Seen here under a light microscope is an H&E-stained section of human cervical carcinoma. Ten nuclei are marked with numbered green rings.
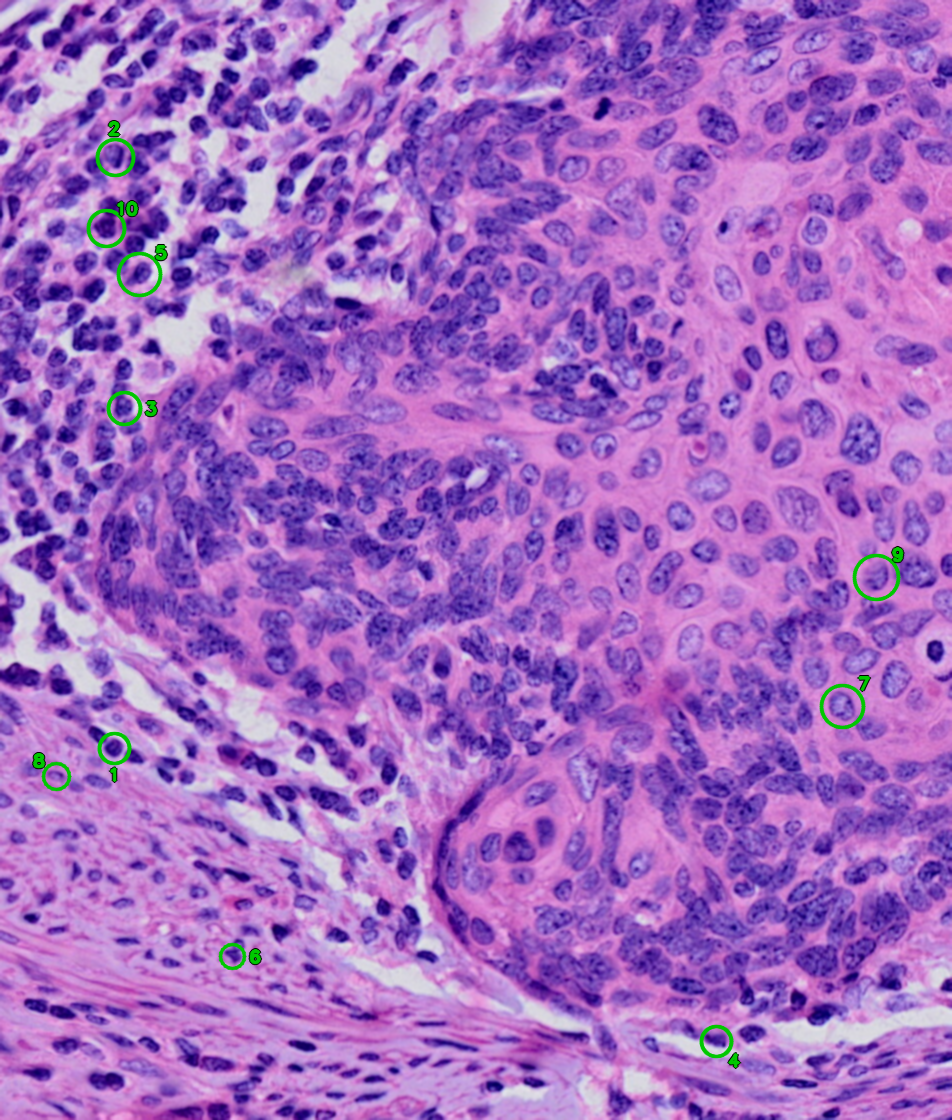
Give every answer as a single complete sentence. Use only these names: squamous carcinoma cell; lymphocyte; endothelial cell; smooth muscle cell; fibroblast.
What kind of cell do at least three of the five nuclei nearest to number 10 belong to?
Of the five nuclei nearest to number 10, most belong to lymphocytes.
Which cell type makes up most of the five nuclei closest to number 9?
Around number 9, most of the five nearest nuclei are those of squamous carcinoma cells.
